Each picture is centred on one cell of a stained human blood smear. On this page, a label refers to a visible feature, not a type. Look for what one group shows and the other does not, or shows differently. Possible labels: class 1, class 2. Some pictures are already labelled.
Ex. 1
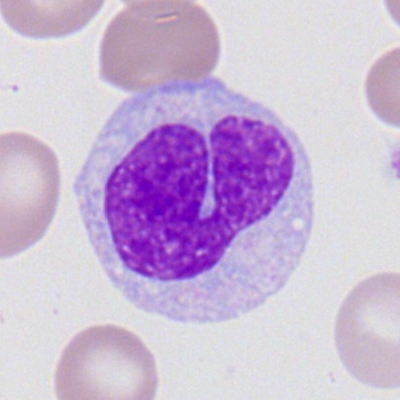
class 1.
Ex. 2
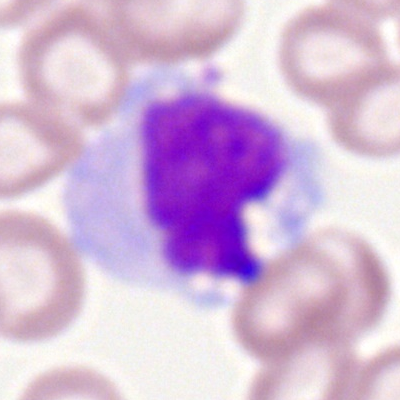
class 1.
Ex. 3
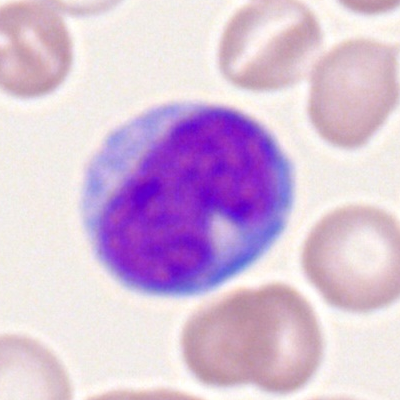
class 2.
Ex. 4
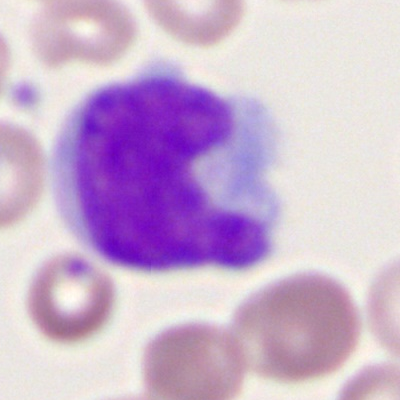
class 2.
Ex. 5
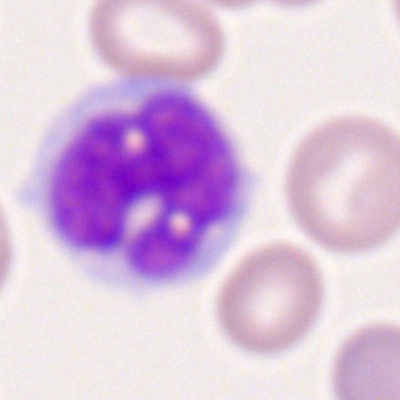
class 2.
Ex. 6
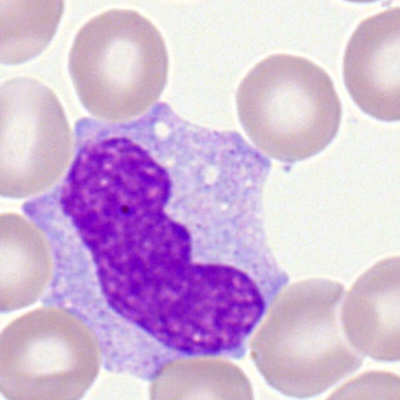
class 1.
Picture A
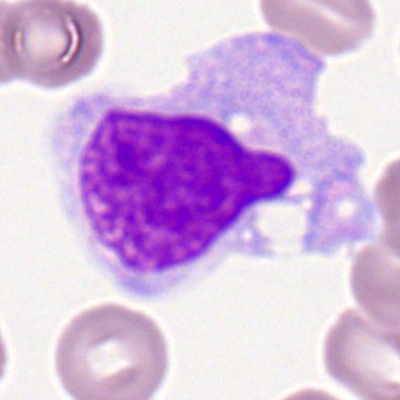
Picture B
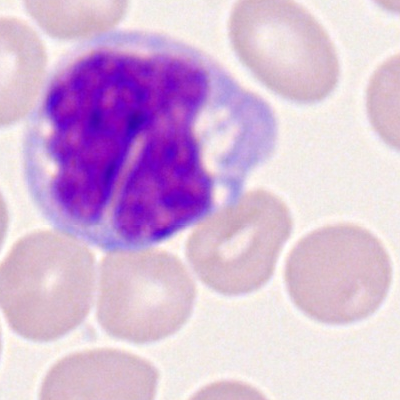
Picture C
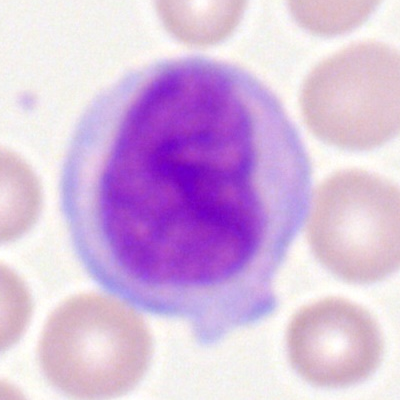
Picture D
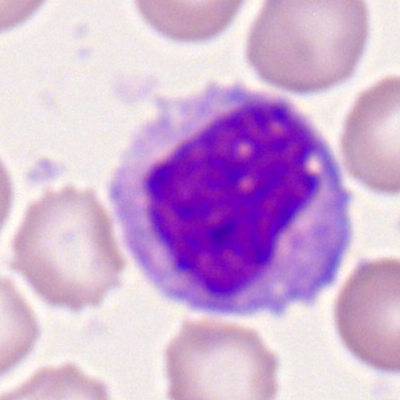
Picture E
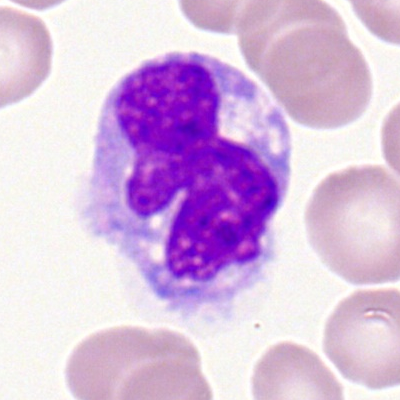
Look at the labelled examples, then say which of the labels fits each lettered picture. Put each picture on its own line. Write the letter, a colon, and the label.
A: class 1.
B: class 2.
C: class 2.
D: class 2.
E: class 1.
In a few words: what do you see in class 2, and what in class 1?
class 2: scant cytoplasm; class 1: abundant cytoplasm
